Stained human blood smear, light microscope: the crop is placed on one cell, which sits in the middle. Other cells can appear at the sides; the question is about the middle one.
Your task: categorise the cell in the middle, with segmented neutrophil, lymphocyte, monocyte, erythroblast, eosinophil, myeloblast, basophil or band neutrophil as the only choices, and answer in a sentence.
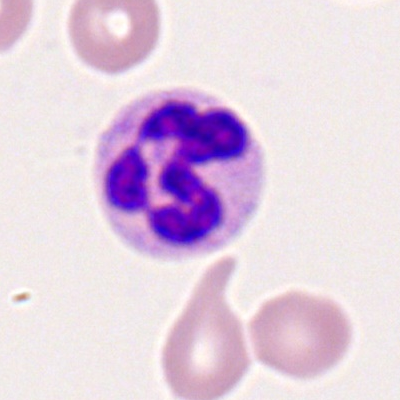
The middle position in this crop is taken by a segmented neutrophil.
